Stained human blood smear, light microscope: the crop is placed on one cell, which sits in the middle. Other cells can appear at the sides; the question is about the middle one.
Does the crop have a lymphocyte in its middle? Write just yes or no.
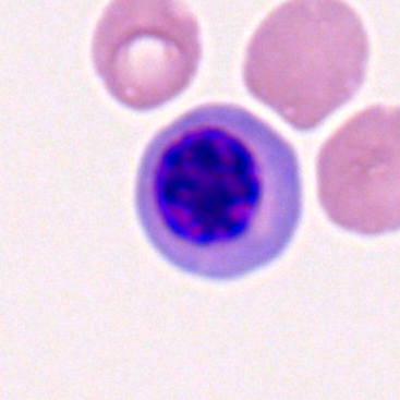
no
